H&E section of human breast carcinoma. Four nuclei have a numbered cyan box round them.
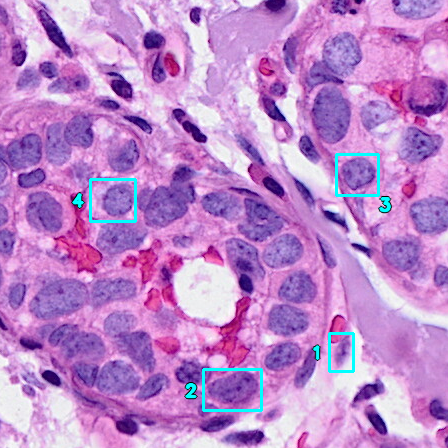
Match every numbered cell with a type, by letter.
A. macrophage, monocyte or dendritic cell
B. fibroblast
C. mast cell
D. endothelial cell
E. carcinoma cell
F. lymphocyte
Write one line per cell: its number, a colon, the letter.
1: D
2: E
3: E
4: E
